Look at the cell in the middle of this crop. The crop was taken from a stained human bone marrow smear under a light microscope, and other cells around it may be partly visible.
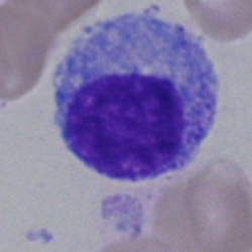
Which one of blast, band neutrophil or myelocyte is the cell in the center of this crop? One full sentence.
This crop is built around a myelocyte at its centre.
